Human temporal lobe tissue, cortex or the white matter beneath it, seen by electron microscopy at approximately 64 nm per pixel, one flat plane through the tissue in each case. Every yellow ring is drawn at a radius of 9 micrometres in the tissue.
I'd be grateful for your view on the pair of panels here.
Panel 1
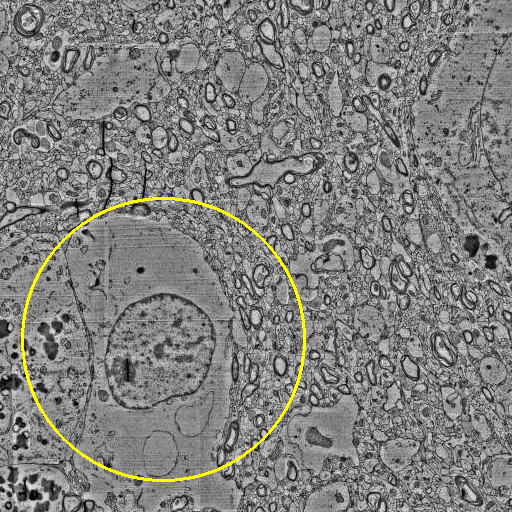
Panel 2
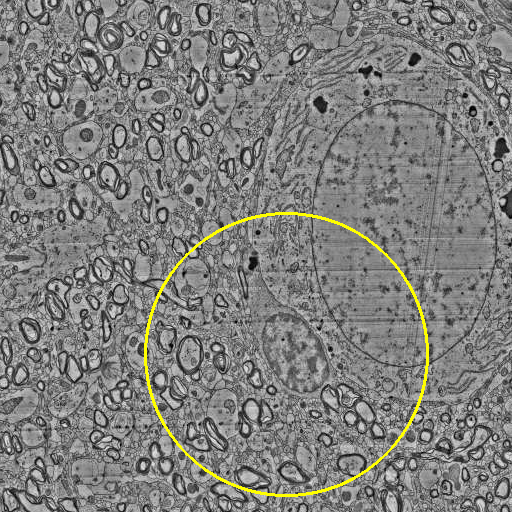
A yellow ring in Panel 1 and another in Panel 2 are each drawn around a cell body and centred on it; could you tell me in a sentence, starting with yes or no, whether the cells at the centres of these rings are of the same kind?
No, they are two kinds of cell.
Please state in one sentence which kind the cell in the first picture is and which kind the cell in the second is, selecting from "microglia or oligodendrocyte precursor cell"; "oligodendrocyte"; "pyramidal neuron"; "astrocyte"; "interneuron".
The first ringed cell is an astrocyte, the second ringed cell an oligodendrocyte.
